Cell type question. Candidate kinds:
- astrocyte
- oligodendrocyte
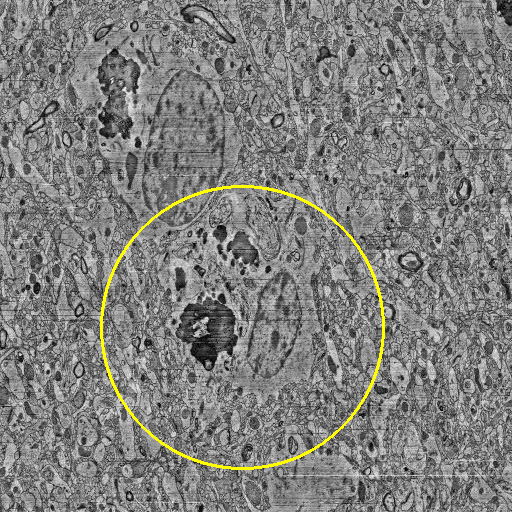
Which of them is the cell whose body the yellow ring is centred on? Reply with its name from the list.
astrocyte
